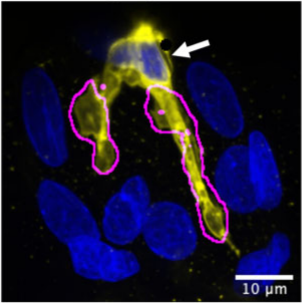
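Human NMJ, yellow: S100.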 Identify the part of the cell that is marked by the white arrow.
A: Nuclei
